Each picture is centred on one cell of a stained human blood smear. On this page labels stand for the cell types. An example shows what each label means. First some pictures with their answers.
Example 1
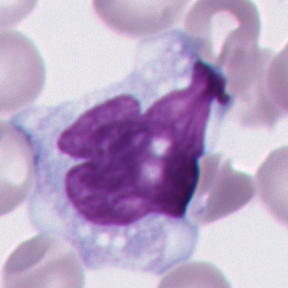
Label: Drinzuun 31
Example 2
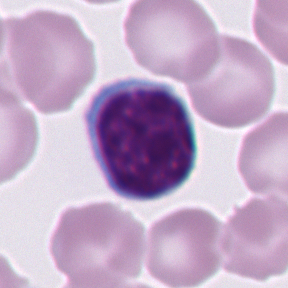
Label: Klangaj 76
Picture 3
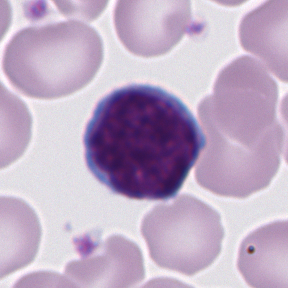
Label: Klangaj 76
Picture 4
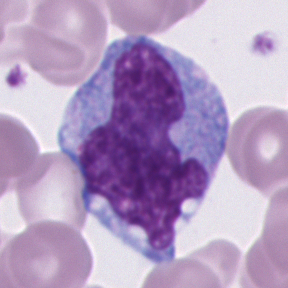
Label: Drinzuun 31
